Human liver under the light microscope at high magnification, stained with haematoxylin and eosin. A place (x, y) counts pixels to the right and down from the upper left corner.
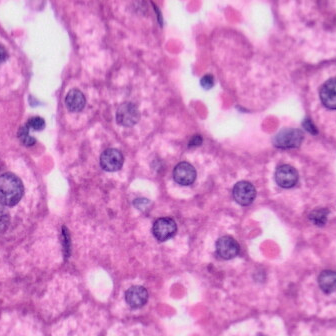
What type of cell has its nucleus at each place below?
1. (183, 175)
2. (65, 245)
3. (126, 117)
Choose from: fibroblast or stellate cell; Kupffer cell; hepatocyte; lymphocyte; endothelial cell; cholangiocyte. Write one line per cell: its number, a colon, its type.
1: hepatocyte
2: fibroblast or stellate cell
3: hepatocyte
